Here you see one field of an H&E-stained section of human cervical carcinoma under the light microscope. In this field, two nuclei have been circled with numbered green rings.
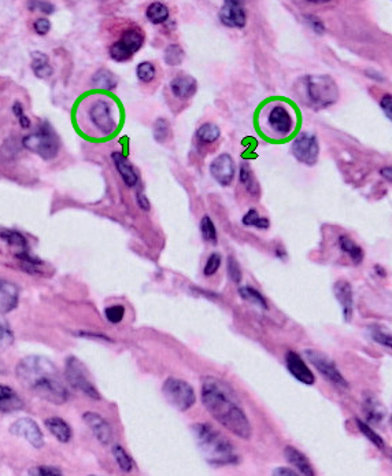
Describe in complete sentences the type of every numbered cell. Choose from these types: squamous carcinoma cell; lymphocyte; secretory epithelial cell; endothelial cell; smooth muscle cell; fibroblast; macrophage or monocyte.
Cell 1 is a macrophage or monocyte. Cell 2 is a lymphocyte.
